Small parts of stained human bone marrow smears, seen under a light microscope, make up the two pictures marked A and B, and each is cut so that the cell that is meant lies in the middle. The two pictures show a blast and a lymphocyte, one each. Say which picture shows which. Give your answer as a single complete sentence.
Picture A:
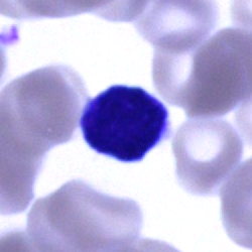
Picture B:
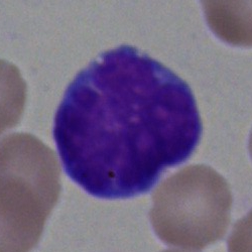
Picture B shows a blast, while picture A shows a lymphocyte.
